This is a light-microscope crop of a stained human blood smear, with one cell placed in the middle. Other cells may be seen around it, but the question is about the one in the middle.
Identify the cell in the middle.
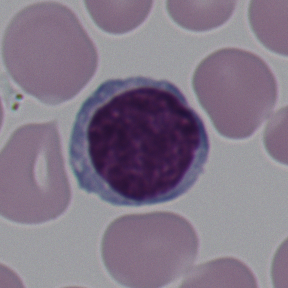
typical lymphocyte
